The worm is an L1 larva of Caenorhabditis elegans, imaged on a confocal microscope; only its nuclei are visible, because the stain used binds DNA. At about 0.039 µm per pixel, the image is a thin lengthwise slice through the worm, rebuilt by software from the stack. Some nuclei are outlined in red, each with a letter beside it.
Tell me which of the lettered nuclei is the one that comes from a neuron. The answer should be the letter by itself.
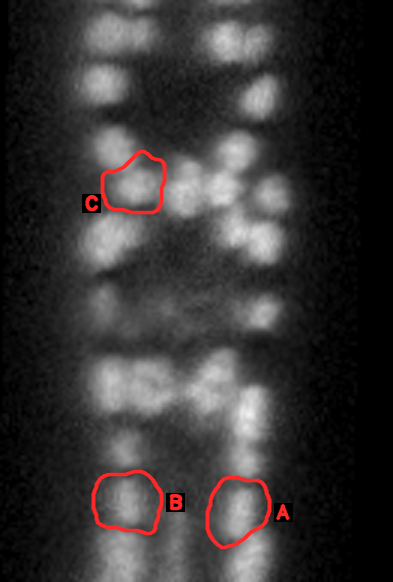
C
